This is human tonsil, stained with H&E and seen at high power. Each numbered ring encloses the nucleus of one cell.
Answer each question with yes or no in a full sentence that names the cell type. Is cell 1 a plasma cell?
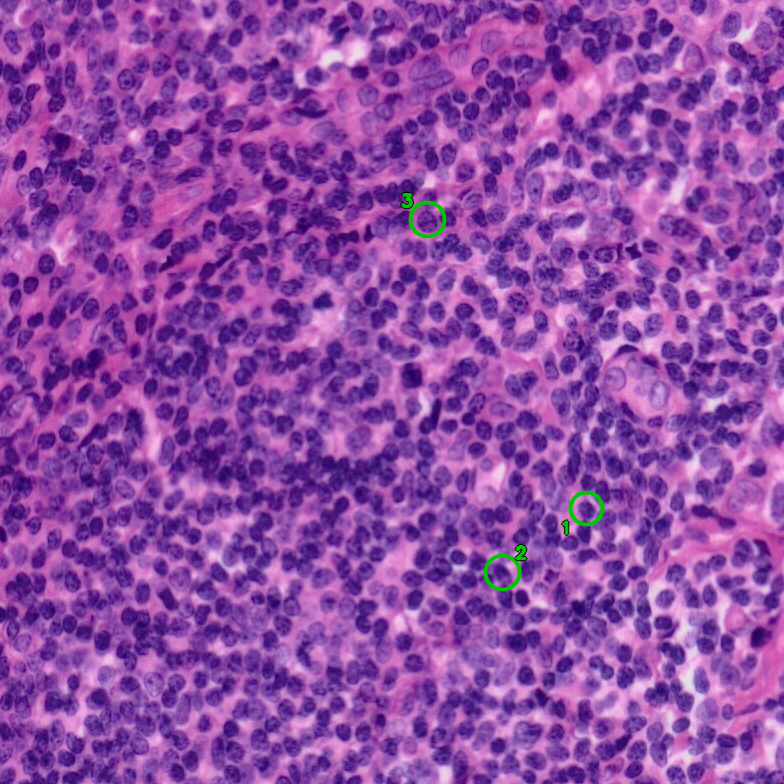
No, the one with number 1 is a small lymphocyte, not a plasma cell.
